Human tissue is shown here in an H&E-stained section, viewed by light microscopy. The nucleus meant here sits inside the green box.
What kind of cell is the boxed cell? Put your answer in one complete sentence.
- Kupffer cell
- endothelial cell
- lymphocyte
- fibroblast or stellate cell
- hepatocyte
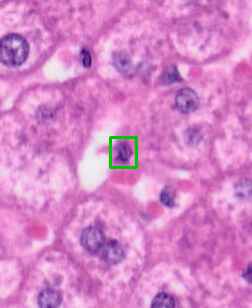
Placed in its cell category, the boxed cell is a Kupffer cell.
